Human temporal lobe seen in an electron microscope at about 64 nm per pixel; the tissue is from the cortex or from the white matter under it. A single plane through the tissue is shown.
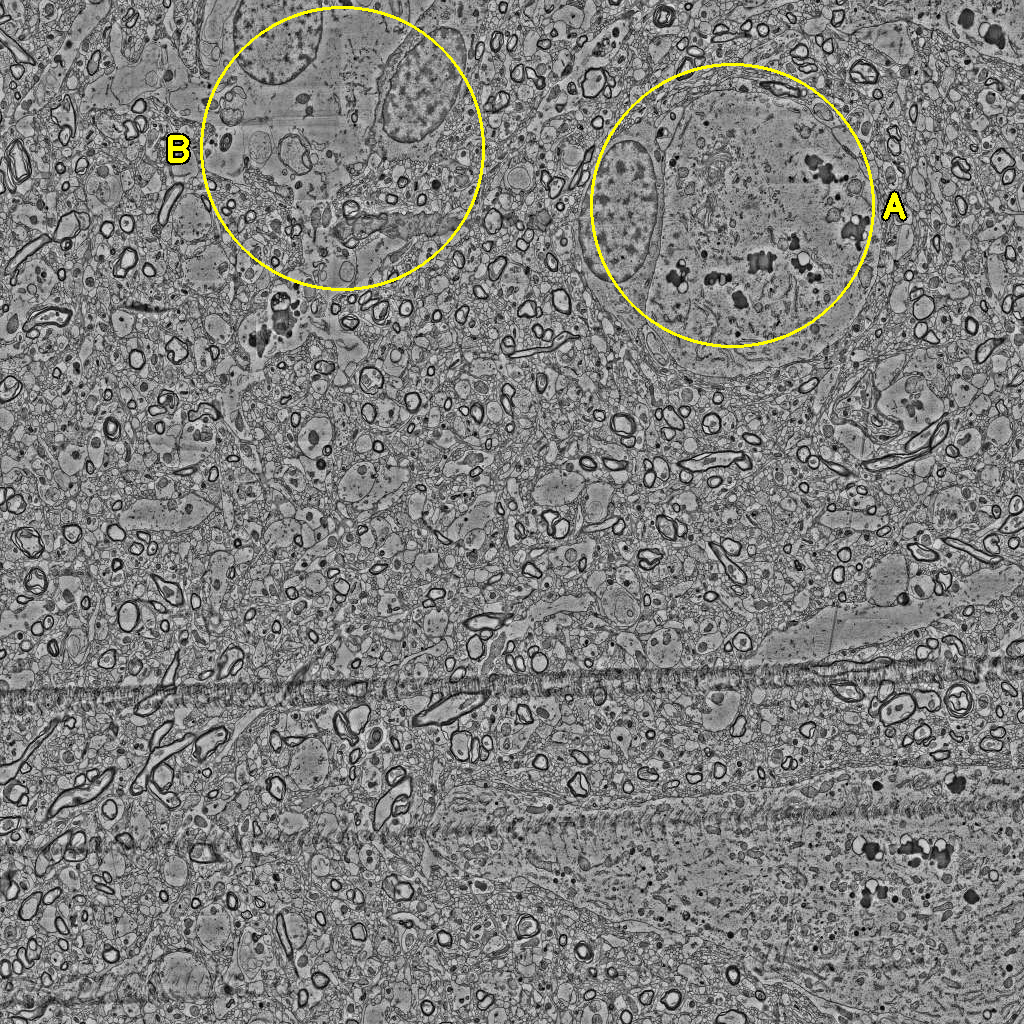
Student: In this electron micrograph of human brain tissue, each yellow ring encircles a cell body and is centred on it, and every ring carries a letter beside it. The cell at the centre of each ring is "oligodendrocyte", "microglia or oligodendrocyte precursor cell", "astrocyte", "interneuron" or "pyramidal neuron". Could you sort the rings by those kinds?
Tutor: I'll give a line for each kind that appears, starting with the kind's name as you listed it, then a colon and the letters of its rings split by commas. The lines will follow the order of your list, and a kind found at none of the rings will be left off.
oligodendrocyte: B
pyramidal neuron: A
